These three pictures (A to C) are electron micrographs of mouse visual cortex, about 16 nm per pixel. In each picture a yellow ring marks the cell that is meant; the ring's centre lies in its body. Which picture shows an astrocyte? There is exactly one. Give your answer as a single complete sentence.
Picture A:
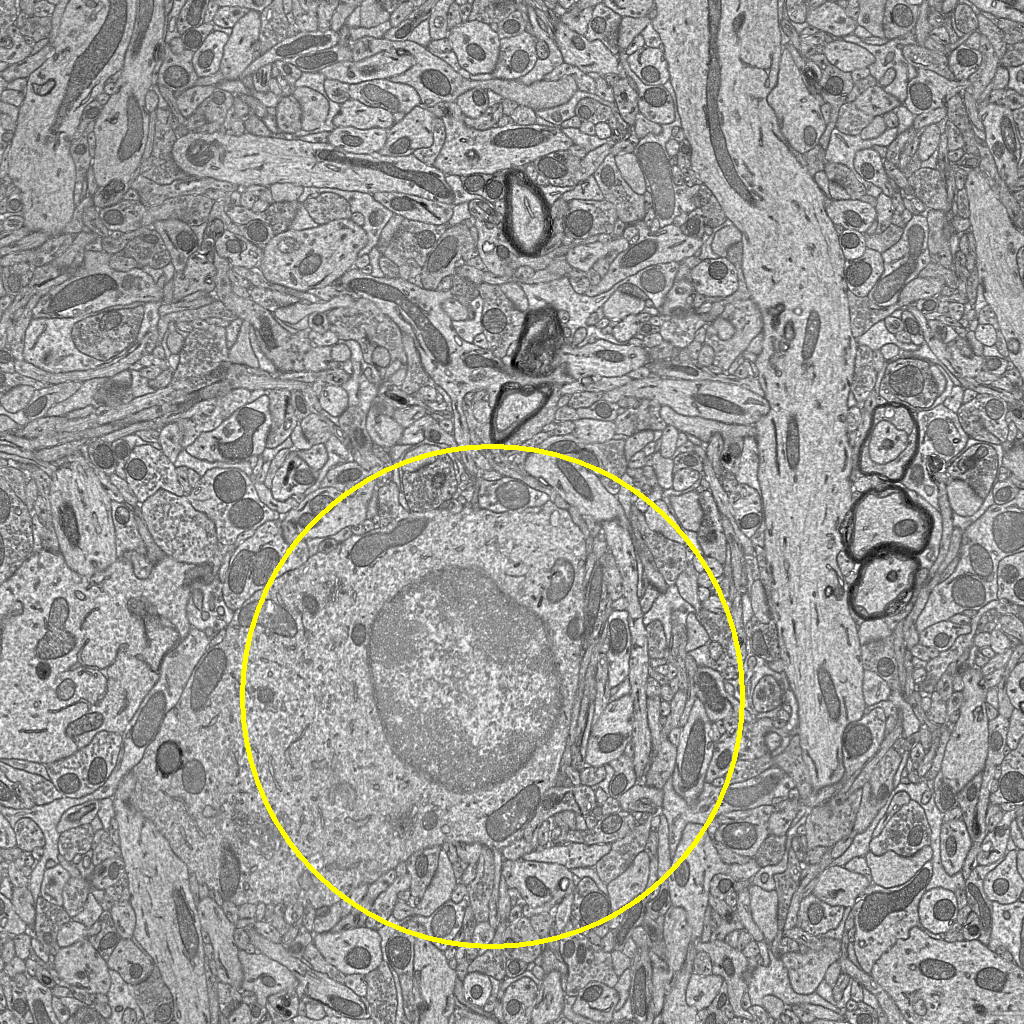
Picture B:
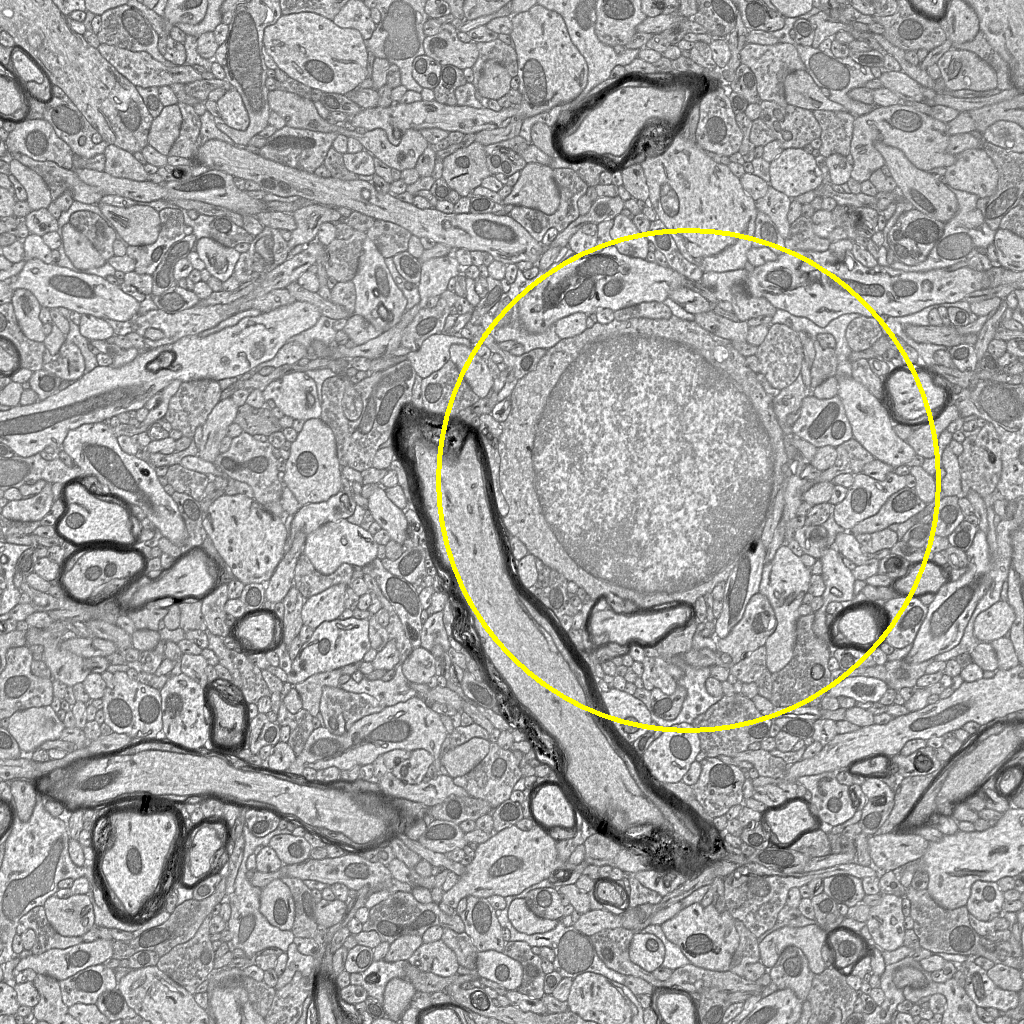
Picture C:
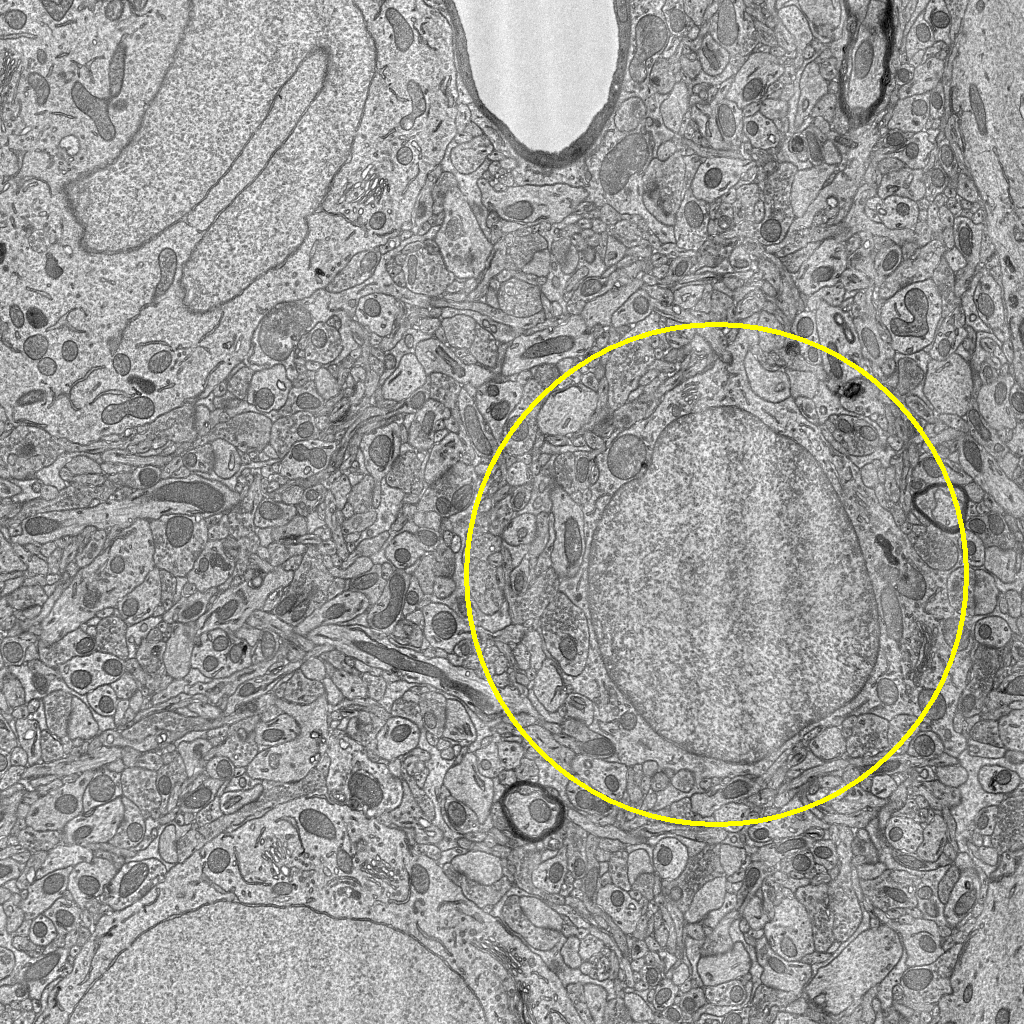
It is picture C that shows the astrocyte.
